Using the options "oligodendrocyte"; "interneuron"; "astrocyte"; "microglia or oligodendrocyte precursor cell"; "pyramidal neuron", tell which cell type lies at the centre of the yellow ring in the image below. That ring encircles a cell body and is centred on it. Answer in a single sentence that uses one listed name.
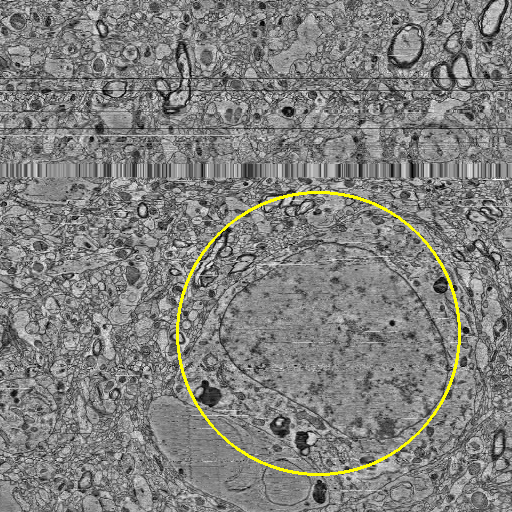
At the centre of the yellow ring lies the body of a pyramidal neuron.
